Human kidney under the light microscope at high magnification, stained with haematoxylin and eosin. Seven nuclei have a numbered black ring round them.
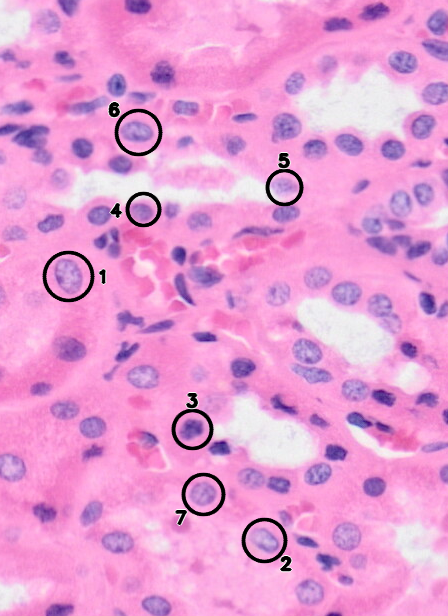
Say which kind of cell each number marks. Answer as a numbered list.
1. proximal tubule cell
2. proximal tubule cell
3. loop of Henle or distal tubule cell
4. loop of Henle or distal tubule cell
5. loop of Henle or distal tubule cell
6. loop of Henle or distal tubule cell
7. proximal tubule cell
